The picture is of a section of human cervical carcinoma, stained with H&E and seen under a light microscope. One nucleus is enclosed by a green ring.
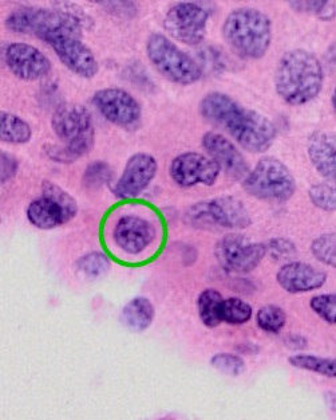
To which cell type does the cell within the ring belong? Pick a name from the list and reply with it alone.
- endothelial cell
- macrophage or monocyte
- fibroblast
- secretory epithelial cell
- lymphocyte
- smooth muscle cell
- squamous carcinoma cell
squamous carcinoma cell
